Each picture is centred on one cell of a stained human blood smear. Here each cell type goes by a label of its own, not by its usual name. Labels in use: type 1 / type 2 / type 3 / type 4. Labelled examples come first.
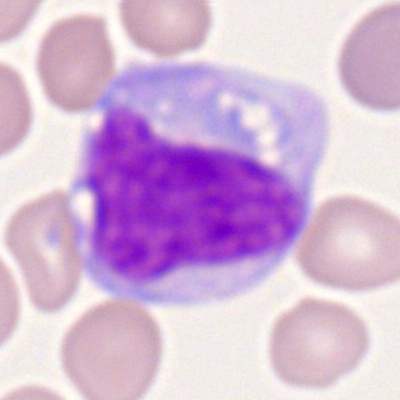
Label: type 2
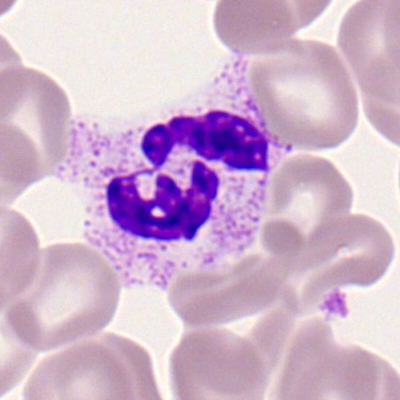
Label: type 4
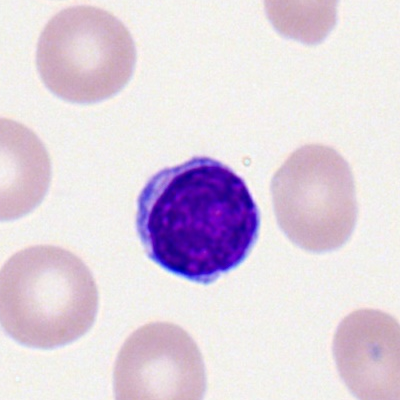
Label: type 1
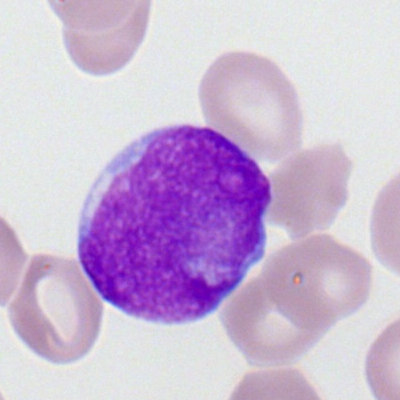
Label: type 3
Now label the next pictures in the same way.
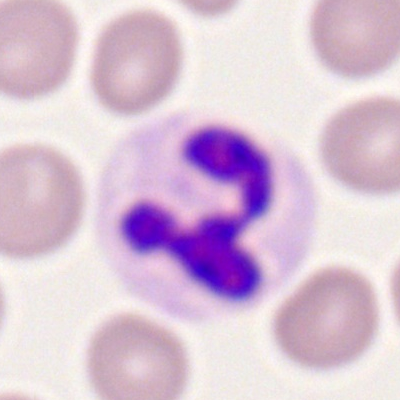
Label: type 4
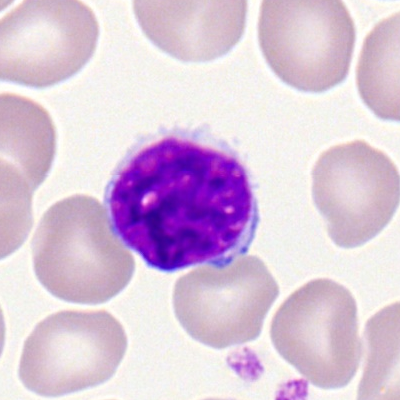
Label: type 1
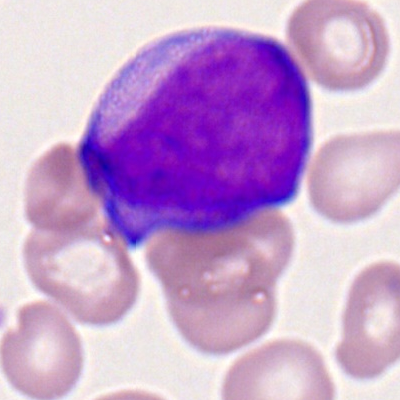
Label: type 3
